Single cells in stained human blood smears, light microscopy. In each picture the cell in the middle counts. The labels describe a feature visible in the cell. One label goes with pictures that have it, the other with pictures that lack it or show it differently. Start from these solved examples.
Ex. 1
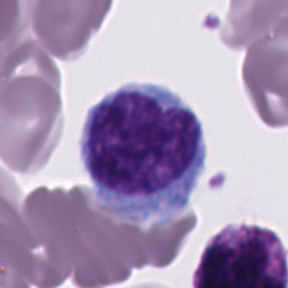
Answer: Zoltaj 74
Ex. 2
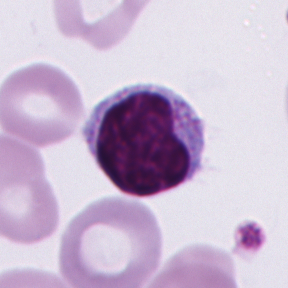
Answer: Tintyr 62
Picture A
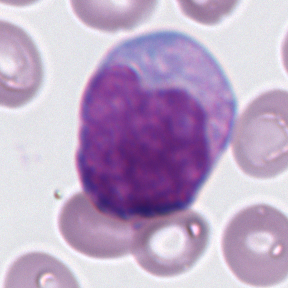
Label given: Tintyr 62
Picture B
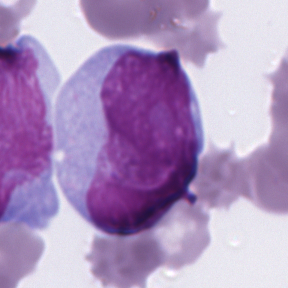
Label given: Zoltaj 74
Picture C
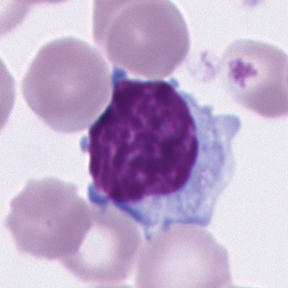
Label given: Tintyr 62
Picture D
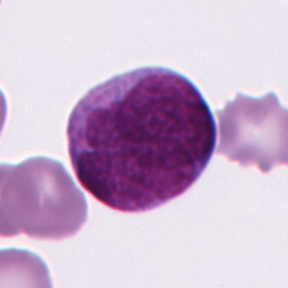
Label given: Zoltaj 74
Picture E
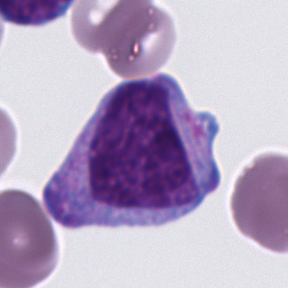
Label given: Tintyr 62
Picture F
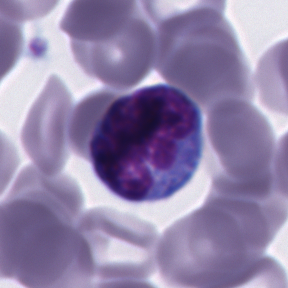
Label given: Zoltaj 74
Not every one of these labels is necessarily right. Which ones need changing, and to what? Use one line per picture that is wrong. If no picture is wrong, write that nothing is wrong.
A: not Tintyr 62 but Zoltaj 74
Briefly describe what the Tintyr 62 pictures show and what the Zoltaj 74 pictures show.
Tintyr 62: ragged outline or projections; Zoltaj 74: smooth outline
